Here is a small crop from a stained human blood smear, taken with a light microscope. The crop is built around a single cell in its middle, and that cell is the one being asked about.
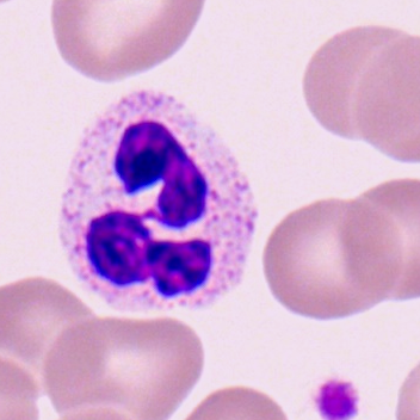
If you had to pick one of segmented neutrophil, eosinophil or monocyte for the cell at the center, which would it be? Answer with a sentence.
Seen at the centre of the crop is a segmented neutrophil.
